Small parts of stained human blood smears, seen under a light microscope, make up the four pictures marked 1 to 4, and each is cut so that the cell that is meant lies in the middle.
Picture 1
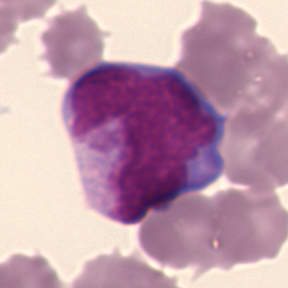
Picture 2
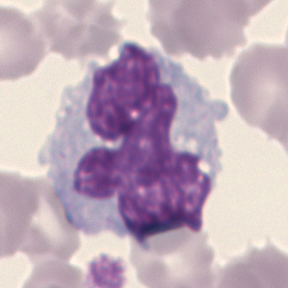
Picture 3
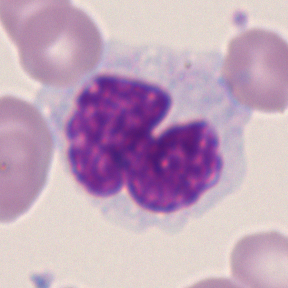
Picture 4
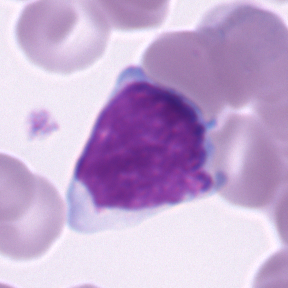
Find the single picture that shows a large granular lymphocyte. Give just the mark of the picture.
4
